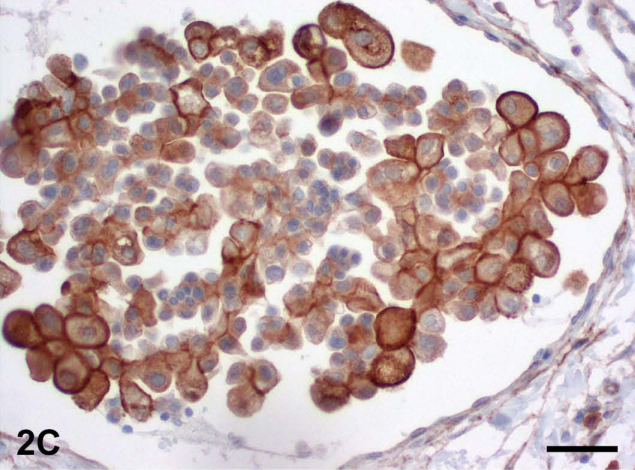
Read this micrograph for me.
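A cluster of tumour cells lies free within a vessel lumen bounded by a thin wall. The cells are large and rounded, singly or in small groups, with round blue nuclei and ample cytoplasm. Surrounding the vessel is loose pale connective tissue.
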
